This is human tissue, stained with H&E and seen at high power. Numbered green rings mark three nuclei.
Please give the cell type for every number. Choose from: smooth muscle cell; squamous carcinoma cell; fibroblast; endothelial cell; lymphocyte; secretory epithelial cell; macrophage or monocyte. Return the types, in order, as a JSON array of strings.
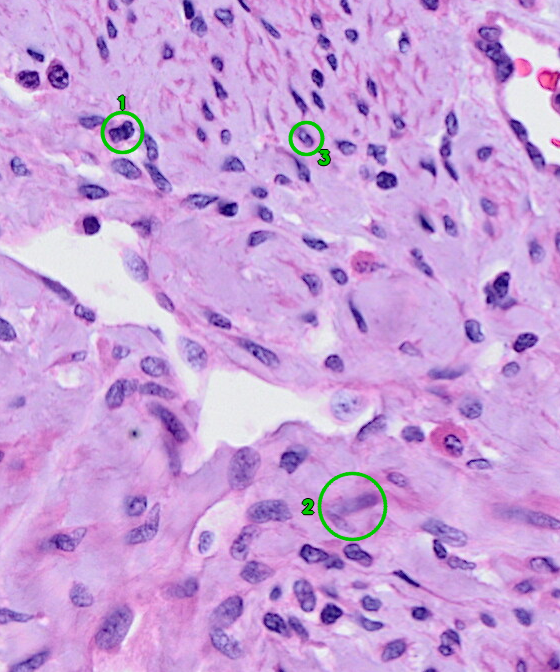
["lymphocyte", "smooth muscle cell", "smooth muscle cell"]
